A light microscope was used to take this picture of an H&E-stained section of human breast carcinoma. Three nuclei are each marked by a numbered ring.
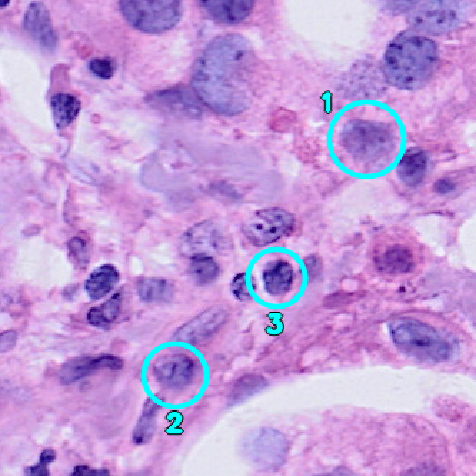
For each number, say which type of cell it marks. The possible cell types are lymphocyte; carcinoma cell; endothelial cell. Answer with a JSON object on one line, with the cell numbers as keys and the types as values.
{"1": "carcinoma cell", "2": "endothelial cell", "3": "lymphocyte"}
